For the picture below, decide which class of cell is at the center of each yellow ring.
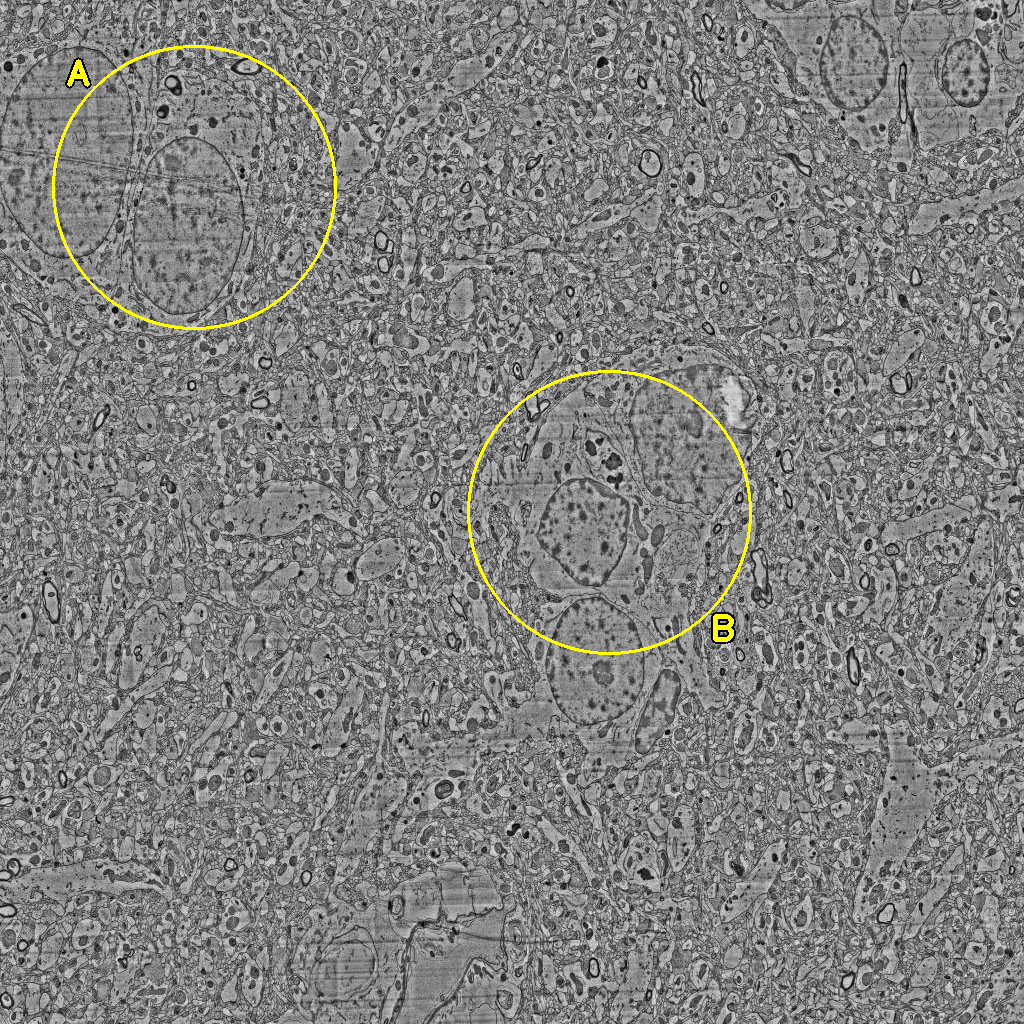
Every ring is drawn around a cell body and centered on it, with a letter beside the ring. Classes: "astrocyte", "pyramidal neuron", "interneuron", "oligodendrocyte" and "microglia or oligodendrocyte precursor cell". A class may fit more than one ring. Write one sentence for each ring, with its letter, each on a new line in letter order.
Centered in ring A is a pyramidal neuron.
Centered in ring B is an astrocyte.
